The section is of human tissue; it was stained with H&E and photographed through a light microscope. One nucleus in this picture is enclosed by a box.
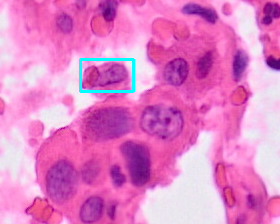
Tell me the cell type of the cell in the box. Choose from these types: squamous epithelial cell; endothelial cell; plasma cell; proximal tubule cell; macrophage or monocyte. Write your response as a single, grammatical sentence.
By its classification, the cell in the box is a macrophage or monocyte.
